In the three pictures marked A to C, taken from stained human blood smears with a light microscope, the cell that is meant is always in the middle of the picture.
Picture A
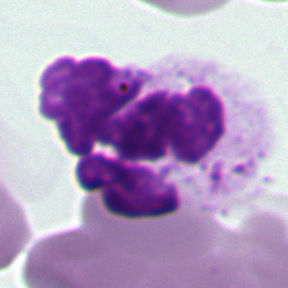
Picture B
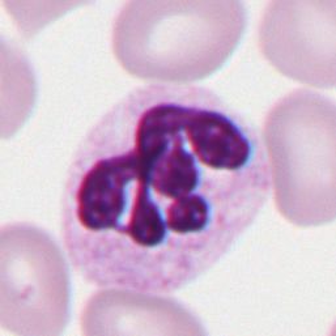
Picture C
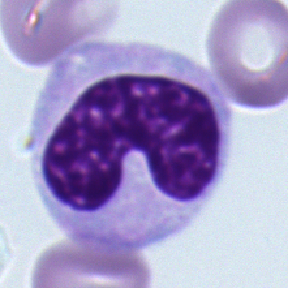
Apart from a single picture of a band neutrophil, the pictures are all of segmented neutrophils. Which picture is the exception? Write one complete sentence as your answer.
The band neutrophil is the one in picture C.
